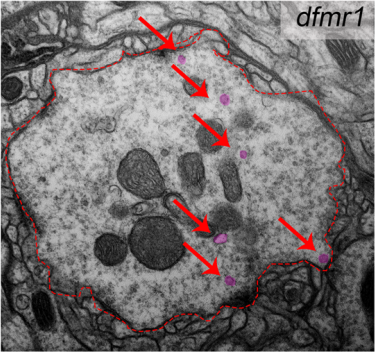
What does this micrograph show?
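This transmission electron micrograph shows a large, rounded synaptic bouton outlined by a red dashed line, surrounded by small profiles of neighbouring neurites. The bouton holds many small clear synaptic vesicles and several mitochondria of varied size, some cut in cross-section. Several red arrows point to small round organelles, tinted magenta, scattered through the bouton and near its membrane.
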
